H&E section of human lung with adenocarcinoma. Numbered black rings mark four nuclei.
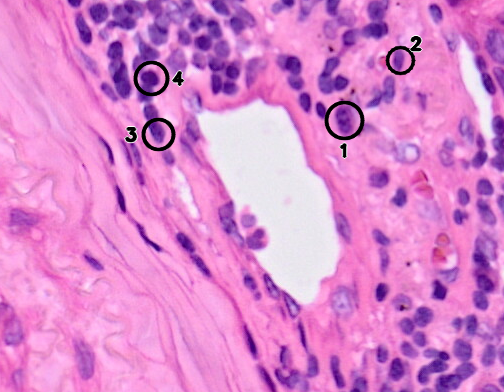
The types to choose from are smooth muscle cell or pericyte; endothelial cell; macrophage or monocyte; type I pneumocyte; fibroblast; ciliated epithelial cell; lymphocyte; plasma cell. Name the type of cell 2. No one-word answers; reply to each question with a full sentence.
In this section, number 2 marks a lymphocyte.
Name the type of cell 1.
The nucleus with number 1 is that of a plasma cell.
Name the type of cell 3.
The cell to which the number 3 is assigned is a lymphocyte.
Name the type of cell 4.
Cell 4 should be recorded as a lymphocyte.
